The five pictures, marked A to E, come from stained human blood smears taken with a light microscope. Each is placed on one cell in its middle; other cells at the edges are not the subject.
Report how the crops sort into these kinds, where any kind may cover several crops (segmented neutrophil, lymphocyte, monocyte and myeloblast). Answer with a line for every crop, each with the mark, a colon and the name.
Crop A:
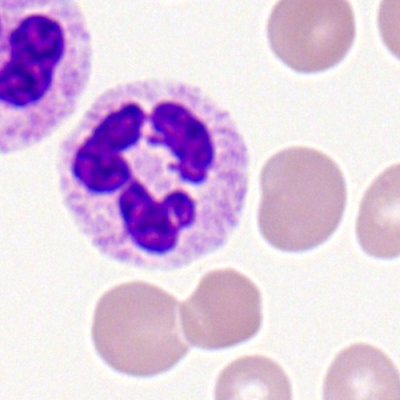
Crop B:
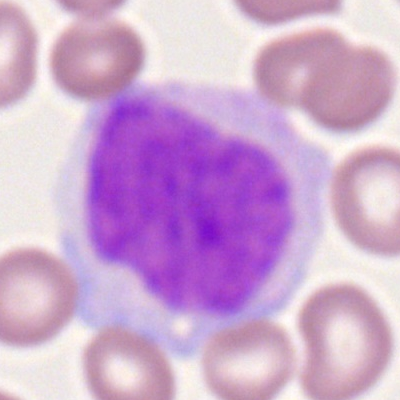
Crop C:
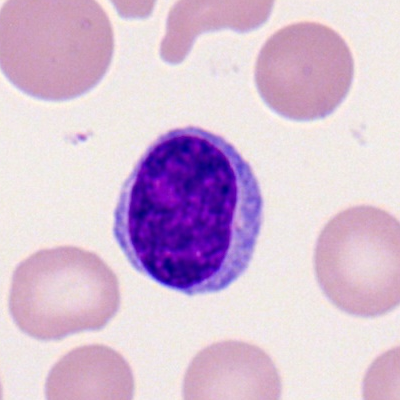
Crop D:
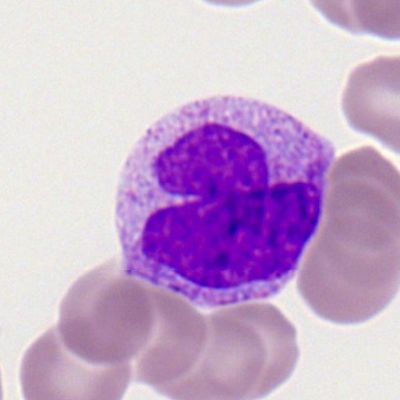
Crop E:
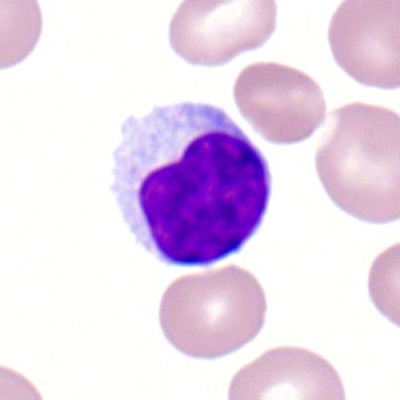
A: segmented neutrophil
B: monocyte
C: lymphocyte
D: monocyte
E: lymphocyte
